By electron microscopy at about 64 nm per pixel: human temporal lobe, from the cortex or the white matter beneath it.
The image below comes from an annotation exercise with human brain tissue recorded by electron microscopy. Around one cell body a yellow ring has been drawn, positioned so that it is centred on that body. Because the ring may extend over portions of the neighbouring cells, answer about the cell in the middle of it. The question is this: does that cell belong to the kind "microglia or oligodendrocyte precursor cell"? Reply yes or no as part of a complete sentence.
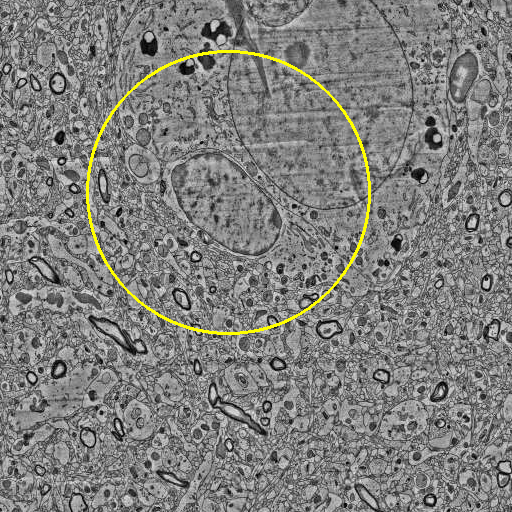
Yes, in the image the cell in the middle of the ring is of the kind asked about.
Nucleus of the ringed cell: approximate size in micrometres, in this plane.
The nucleus comes to approximately 8 by 5 micrometres and is clearly longer than it is wide in this plane.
